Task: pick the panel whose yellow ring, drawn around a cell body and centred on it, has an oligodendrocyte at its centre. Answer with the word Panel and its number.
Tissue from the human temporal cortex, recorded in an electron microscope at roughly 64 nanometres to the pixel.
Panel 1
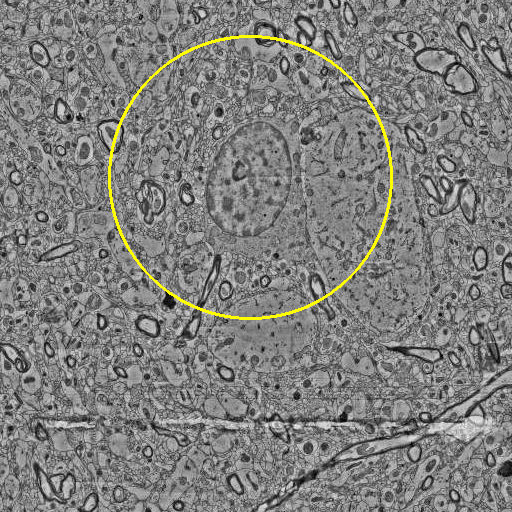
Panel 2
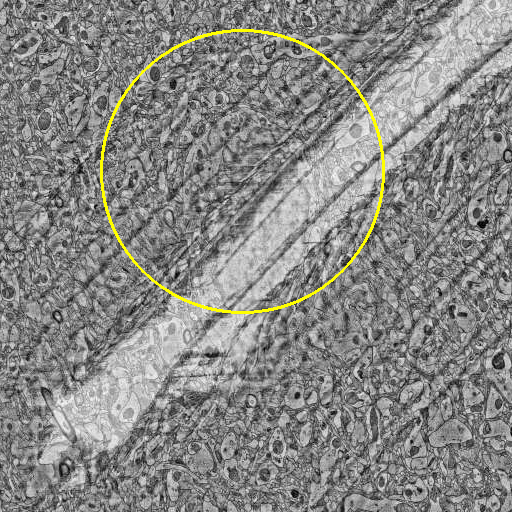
Panel 1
